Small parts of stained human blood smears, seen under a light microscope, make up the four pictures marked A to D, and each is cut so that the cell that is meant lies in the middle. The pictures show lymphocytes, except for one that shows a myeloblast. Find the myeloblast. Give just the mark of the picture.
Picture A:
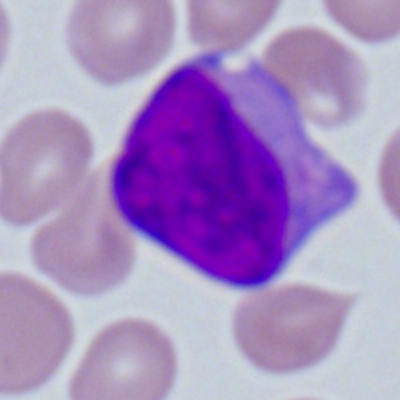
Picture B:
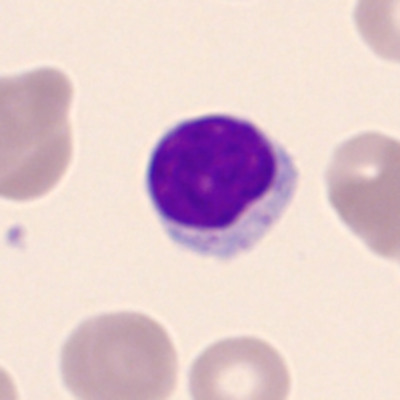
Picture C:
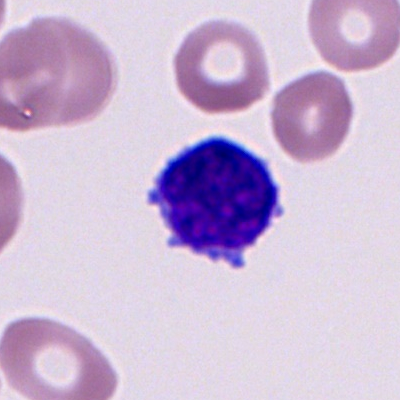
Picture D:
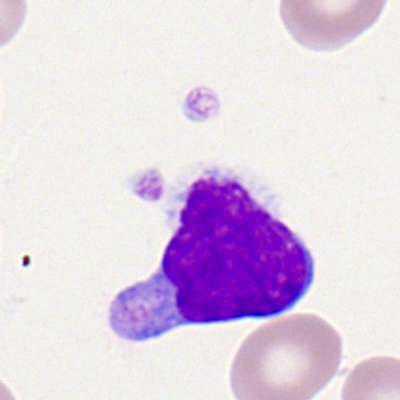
A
